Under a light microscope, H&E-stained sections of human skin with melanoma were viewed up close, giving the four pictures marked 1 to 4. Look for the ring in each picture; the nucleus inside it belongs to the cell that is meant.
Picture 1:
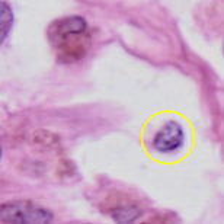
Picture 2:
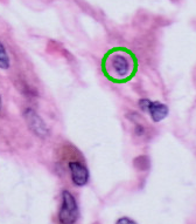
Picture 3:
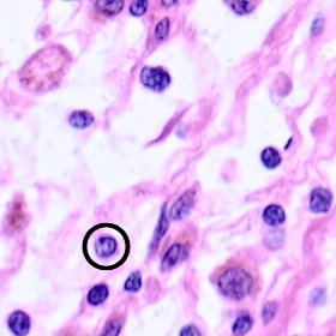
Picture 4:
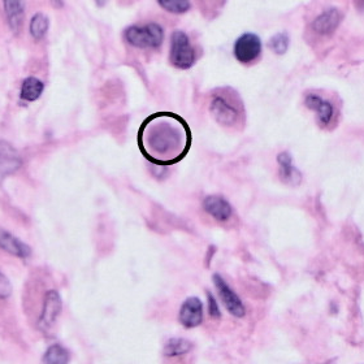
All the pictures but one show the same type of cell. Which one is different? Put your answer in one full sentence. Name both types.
The others show lymphocytes, but picture 4 shows a “macrophage or monocyte”.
